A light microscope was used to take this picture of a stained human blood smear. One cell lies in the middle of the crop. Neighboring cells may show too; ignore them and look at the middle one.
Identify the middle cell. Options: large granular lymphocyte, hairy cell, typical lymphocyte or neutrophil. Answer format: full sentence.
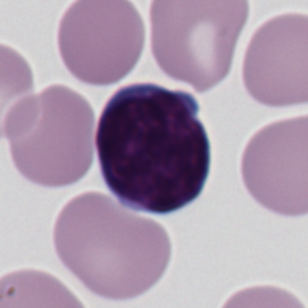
Centrally within this crop lies a typical lymphocyte.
